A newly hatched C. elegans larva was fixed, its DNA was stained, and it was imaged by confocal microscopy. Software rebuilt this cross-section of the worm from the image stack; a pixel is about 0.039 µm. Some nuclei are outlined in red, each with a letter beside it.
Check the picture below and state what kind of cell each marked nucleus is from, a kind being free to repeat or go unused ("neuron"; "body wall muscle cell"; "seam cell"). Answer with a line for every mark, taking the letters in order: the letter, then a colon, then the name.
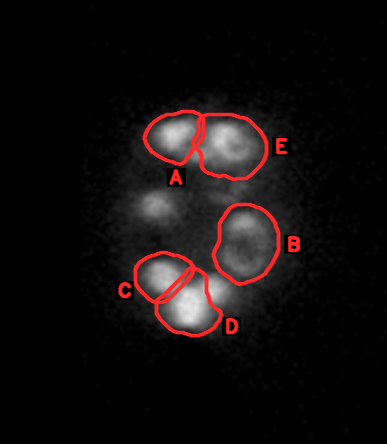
A: body wall muscle cell
B: seam cell
C: body wall muscle cell
D: neuron
E: body wall muscle cell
